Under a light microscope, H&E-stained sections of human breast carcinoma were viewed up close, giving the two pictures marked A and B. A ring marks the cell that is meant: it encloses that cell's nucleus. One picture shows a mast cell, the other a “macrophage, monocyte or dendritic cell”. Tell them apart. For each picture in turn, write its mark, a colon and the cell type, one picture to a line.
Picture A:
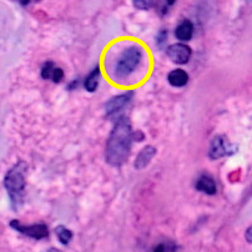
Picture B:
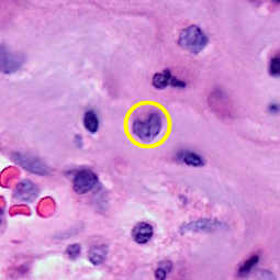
A: mast cell
B: macrophage, monocyte or dendritic cell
